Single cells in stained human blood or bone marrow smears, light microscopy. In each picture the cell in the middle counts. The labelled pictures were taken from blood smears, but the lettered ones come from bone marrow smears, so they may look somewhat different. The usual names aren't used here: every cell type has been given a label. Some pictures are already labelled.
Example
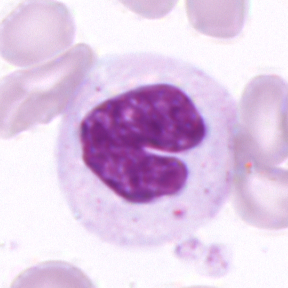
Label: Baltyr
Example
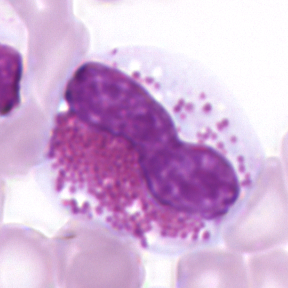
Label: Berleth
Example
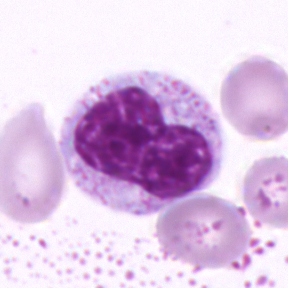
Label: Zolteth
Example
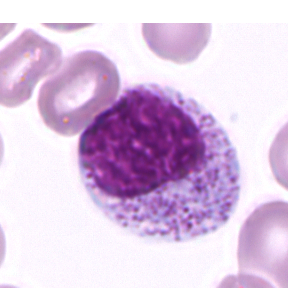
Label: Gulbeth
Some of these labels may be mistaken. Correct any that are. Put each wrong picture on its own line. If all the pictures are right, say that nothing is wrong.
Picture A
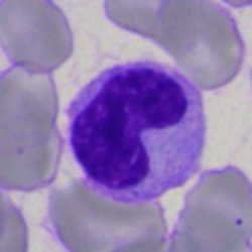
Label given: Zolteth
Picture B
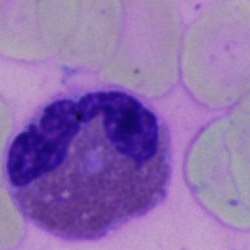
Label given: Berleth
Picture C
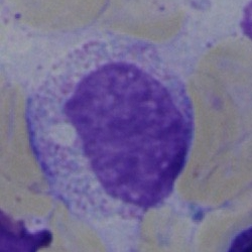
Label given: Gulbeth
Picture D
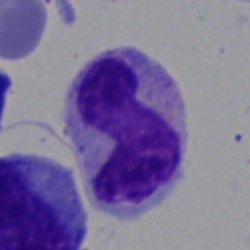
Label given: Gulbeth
D should be Baltyr, not Gulbeth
